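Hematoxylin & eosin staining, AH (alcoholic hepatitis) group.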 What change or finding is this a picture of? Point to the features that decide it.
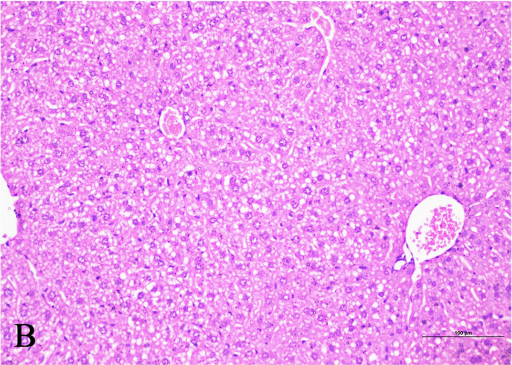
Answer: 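Many small clear round vacuoles in the cytoplasm of the cells. Cells arranged in cords around vessels. So: liver steatosis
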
